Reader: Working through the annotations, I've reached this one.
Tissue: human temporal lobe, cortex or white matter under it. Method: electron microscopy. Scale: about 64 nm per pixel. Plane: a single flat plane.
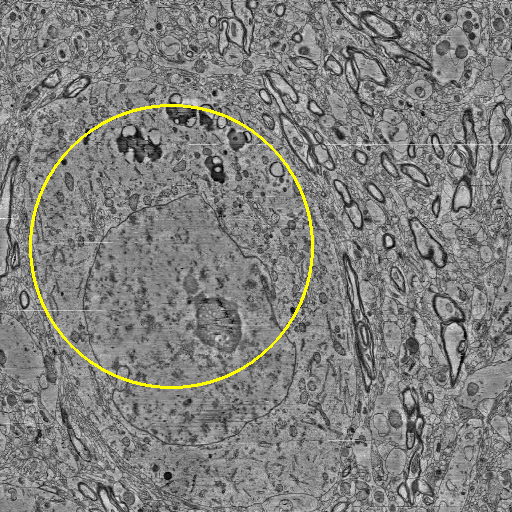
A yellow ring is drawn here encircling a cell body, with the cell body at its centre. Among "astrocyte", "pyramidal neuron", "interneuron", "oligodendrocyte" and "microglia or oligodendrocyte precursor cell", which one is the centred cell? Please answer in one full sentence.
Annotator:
The cell body at the centre of the yellow ring in this image belongs to a pyramidal neuron.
